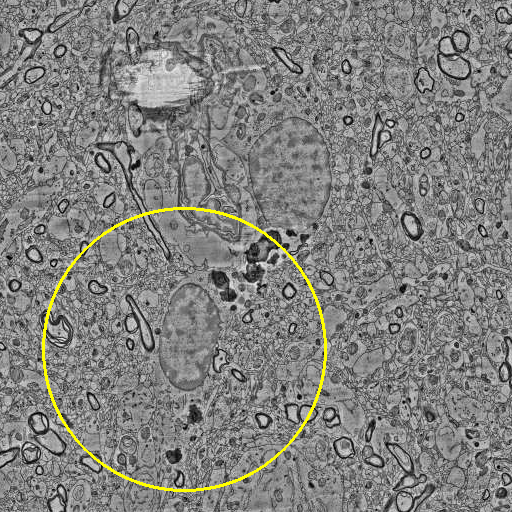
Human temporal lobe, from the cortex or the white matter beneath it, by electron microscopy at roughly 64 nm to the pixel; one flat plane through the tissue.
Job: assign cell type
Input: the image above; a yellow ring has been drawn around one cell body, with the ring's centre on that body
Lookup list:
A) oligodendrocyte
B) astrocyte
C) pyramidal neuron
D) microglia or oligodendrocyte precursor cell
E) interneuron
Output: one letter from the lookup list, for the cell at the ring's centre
A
